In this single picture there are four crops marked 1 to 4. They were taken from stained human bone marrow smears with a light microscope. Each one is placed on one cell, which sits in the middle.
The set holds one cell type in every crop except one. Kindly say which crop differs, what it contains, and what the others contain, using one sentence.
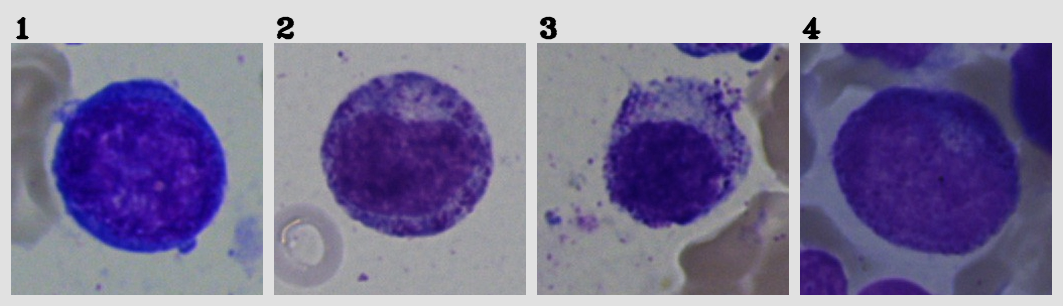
Crop 3 is the exception in this set, showing a myelocyte while the others show promyelocytes.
